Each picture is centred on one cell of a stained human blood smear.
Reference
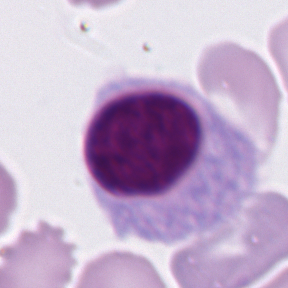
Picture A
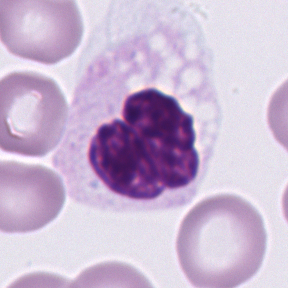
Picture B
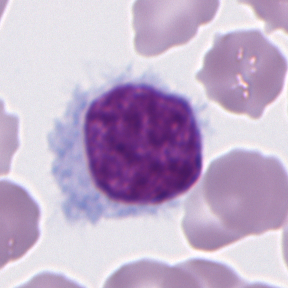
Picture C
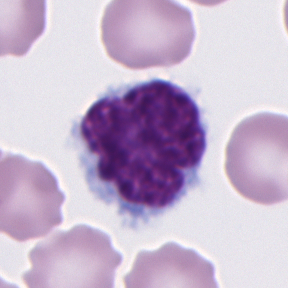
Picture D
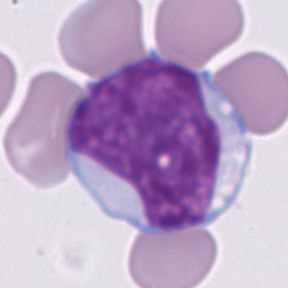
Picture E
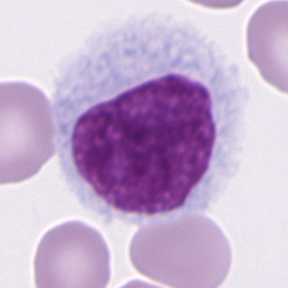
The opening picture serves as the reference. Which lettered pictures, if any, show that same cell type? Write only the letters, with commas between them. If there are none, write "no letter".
B, C, E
